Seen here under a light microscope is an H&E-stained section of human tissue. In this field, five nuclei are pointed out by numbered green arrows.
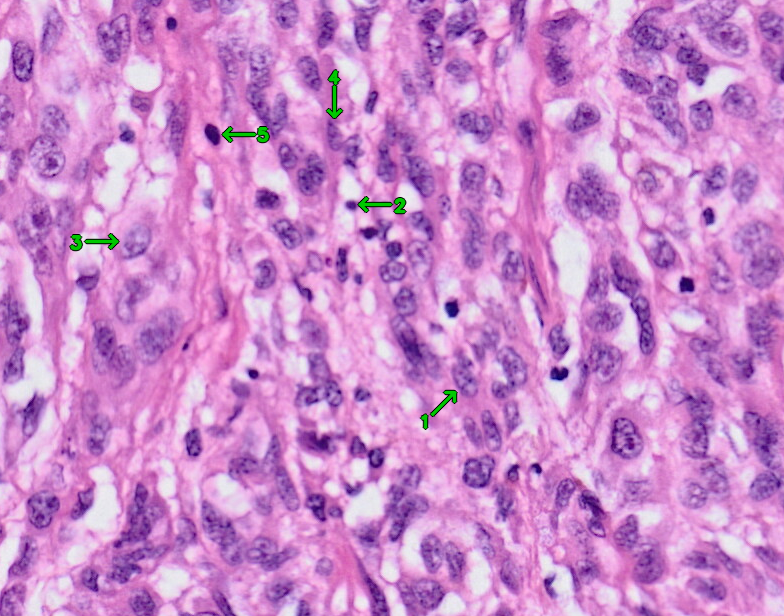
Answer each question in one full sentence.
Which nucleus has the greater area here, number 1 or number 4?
Number 1 is larger; its area is about 1.5 times that of number 4.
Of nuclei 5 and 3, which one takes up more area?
Number 3 is larger; its area is about 2.5 times that of number 5.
